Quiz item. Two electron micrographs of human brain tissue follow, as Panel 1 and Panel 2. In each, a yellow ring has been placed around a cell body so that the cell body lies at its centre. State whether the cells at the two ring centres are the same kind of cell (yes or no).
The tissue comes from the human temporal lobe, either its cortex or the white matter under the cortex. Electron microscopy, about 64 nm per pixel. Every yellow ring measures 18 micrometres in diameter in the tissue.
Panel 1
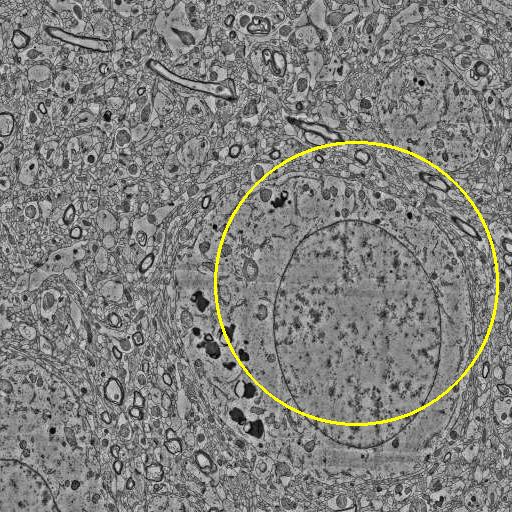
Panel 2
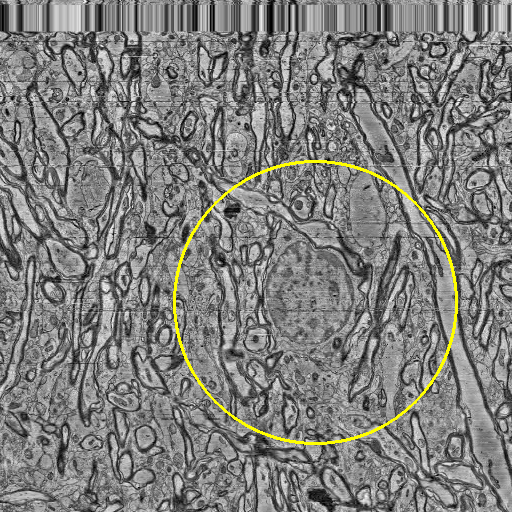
no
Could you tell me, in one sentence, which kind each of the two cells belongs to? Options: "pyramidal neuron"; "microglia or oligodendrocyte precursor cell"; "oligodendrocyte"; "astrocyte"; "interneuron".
At the centre of the first ring sits a pyramidal neuron, and at the centre of the second sits an oligodendrocyte.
